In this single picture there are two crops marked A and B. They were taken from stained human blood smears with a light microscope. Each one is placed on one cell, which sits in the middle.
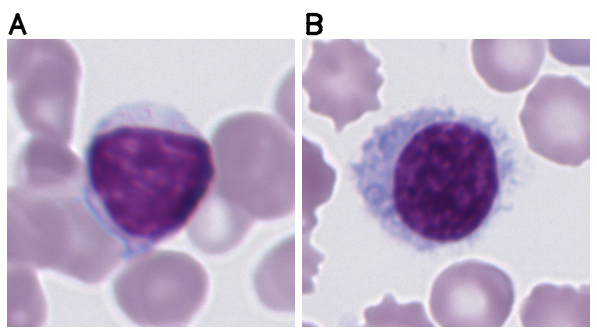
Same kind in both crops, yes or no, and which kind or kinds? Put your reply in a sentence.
No, a large granular lymphocyte is in crop A, while a hairy cell is in crop B.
